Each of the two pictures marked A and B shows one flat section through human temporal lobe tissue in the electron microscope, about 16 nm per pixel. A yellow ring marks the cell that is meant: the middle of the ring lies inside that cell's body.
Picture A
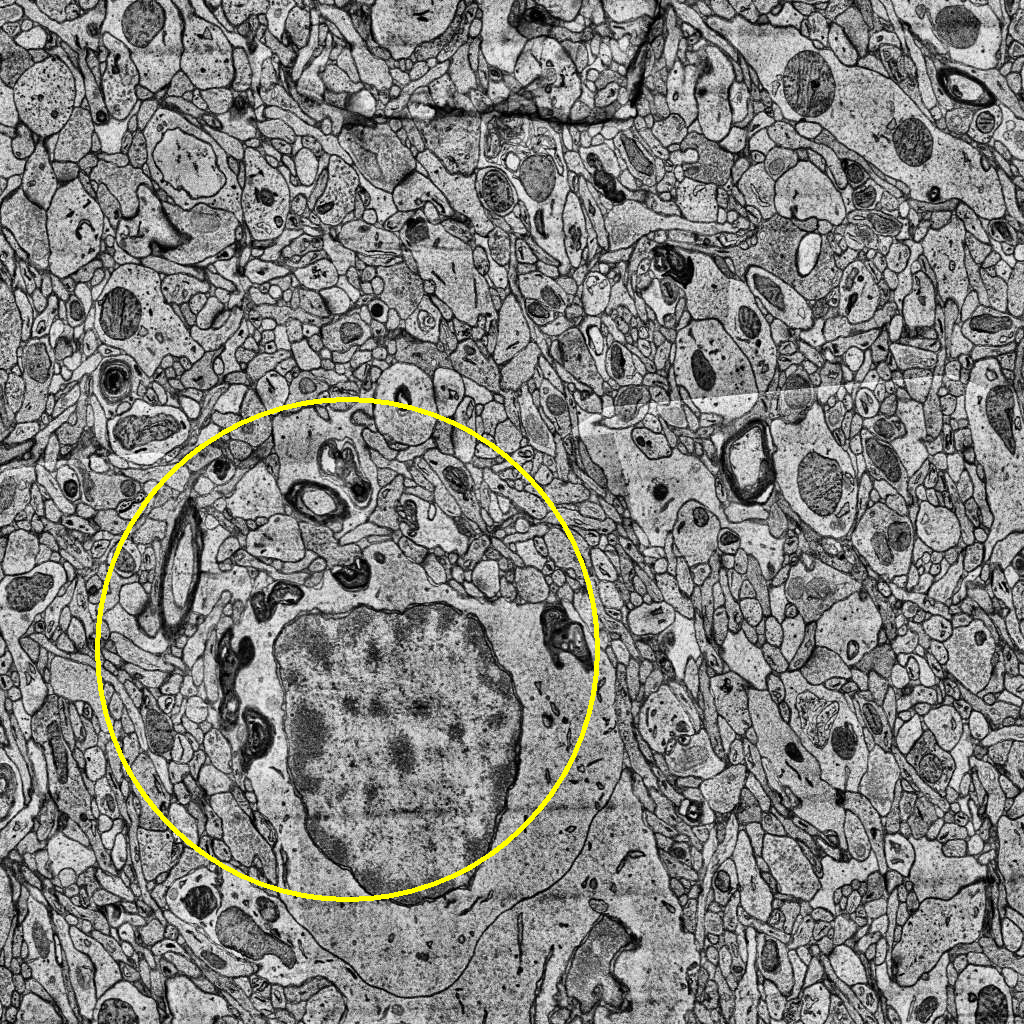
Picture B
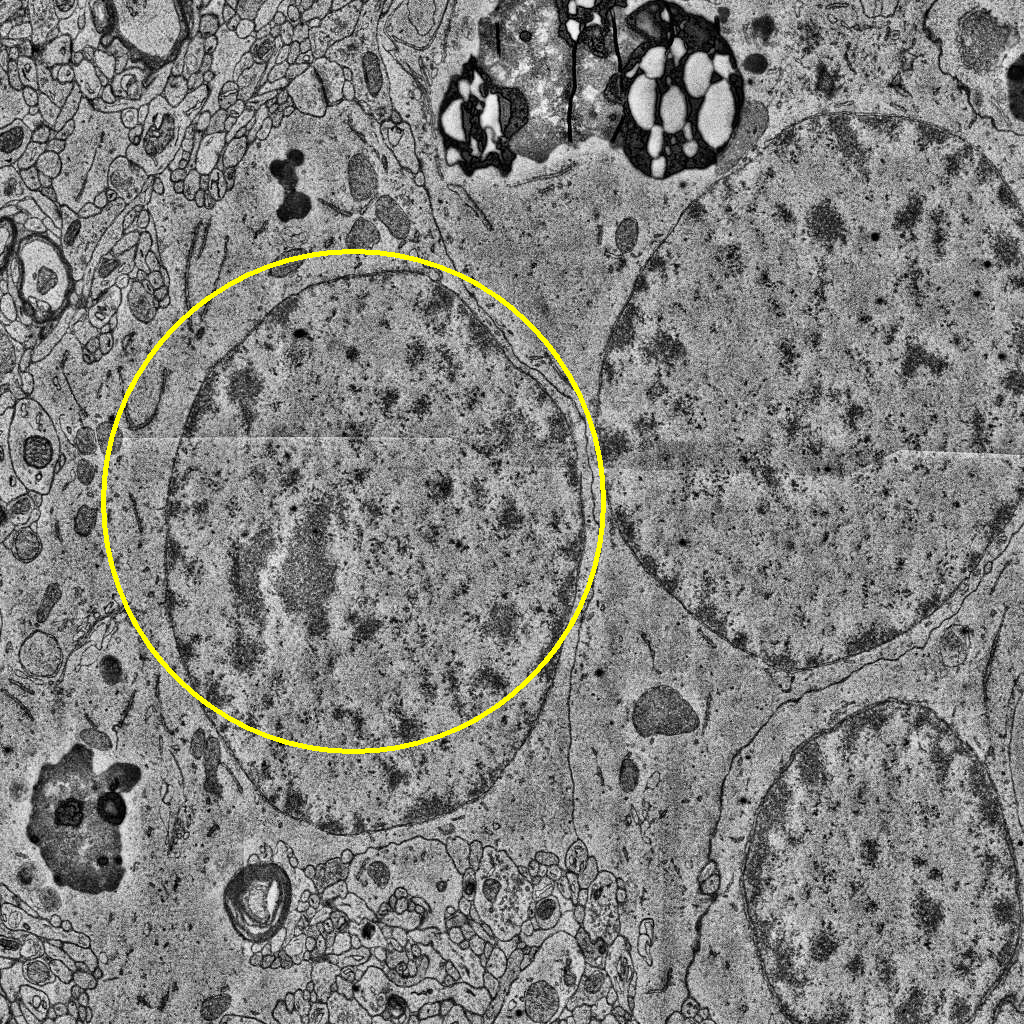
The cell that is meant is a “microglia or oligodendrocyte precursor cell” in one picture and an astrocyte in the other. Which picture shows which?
Picture A is of a “microglia or oligodendrocyte precursor cell”, and picture B is of an astrocyte.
